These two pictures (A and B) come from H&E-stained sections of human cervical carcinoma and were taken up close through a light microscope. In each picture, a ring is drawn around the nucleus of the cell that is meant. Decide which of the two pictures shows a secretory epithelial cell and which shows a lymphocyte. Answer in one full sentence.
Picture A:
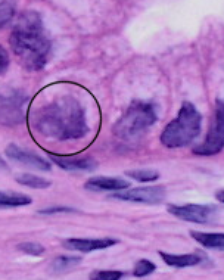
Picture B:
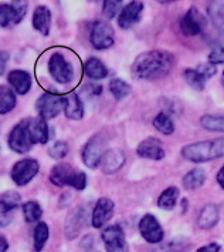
In picture A the cell is a secretory epithelial cell; in picture B, a lymphocyte.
